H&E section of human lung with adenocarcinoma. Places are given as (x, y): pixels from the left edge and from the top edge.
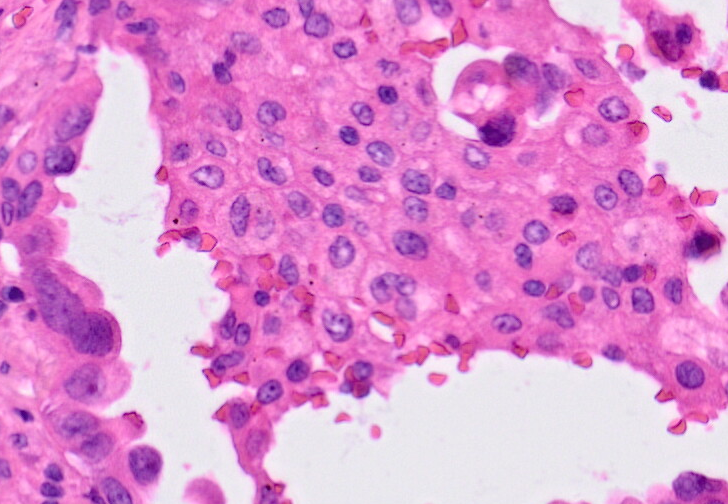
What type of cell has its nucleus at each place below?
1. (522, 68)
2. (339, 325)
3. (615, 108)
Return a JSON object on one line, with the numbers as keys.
{"1": "carcinoma cell", "2": "macrophage or monocyte", "3": "macrophage or monocyte"}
